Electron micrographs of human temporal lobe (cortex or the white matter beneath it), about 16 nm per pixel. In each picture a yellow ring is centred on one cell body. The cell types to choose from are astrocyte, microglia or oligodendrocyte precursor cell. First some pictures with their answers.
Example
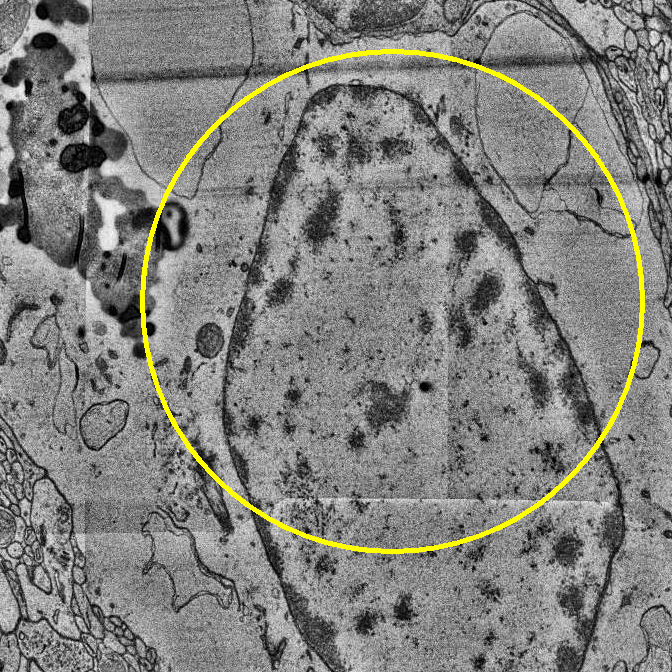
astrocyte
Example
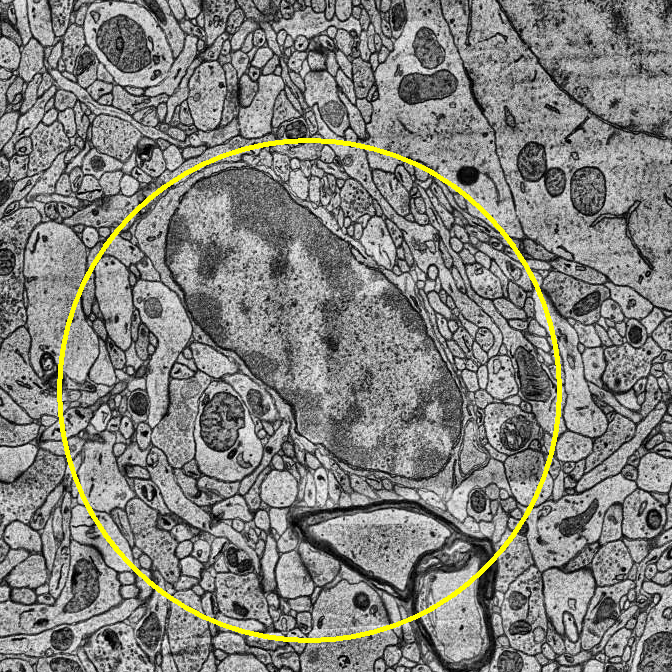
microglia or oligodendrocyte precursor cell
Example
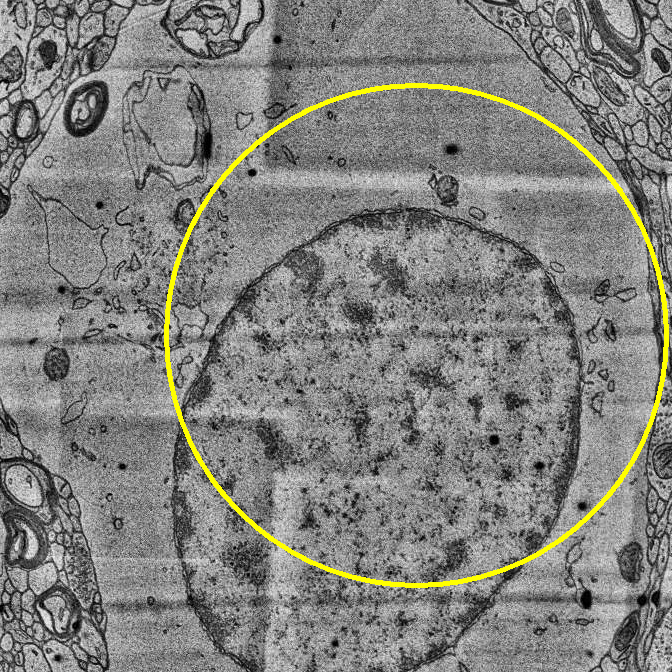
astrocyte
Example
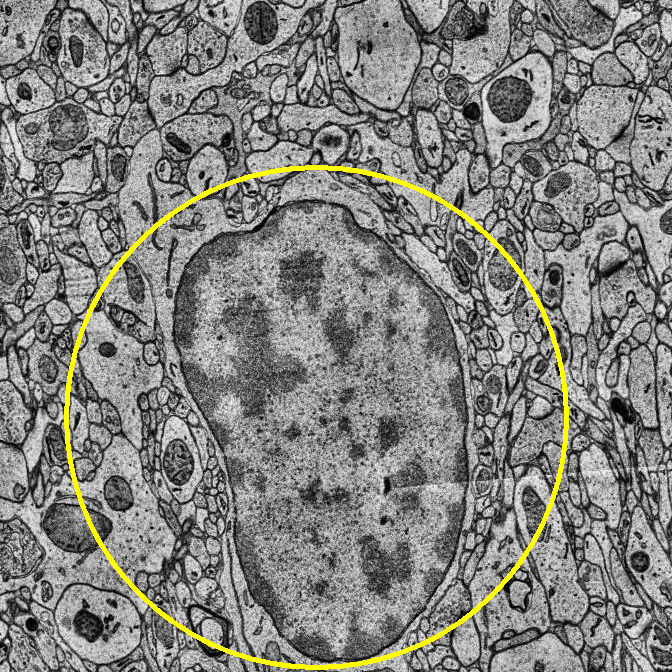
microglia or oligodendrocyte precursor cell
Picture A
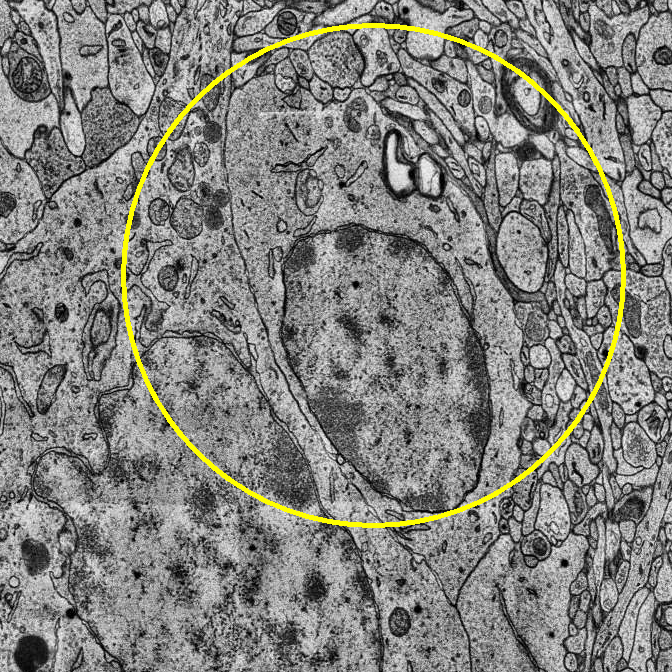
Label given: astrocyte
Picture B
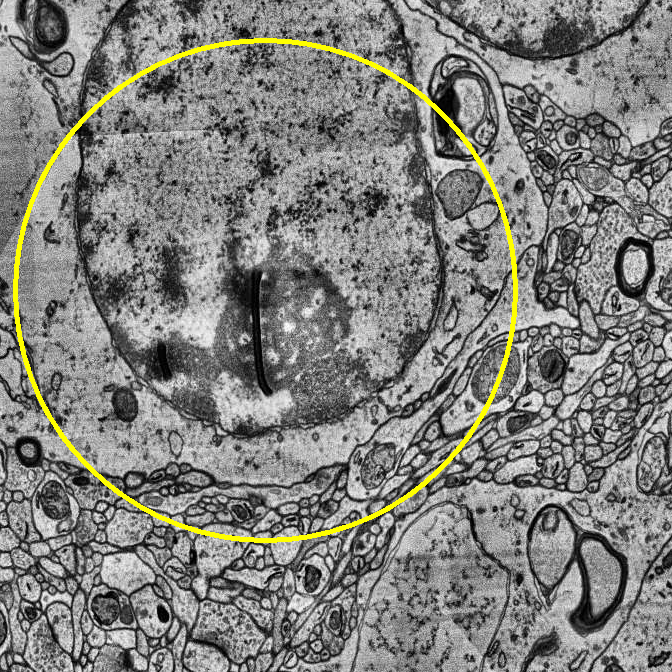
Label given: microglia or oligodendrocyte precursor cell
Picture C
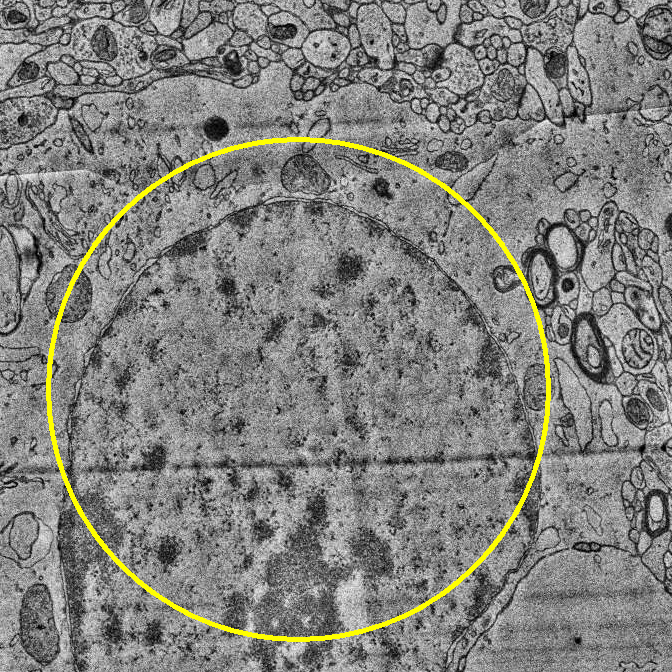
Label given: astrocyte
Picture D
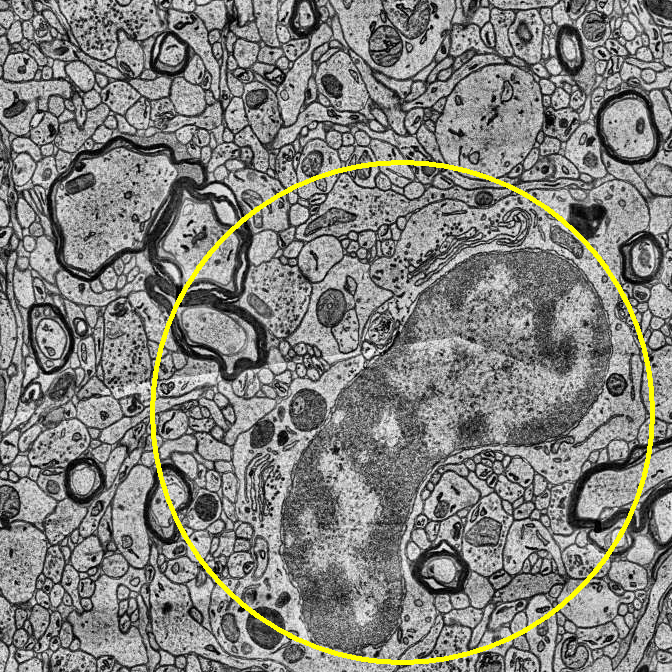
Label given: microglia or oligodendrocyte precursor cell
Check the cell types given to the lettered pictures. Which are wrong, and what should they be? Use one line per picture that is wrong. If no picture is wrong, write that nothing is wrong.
A is labelled astrocyte; correct label: microglia or oligodendrocyte precursor cell
B is labelled microglia or oligodendrocyte precursor cell; correct label: astrocyte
